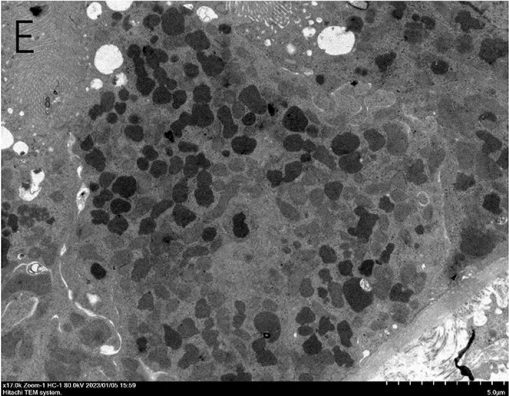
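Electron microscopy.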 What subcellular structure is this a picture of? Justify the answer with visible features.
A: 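Numerous round to irregular membrane-bound dense bodies crowd the cytoplasm. The bodies vary in size and electron density. The answer: lysosomes.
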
